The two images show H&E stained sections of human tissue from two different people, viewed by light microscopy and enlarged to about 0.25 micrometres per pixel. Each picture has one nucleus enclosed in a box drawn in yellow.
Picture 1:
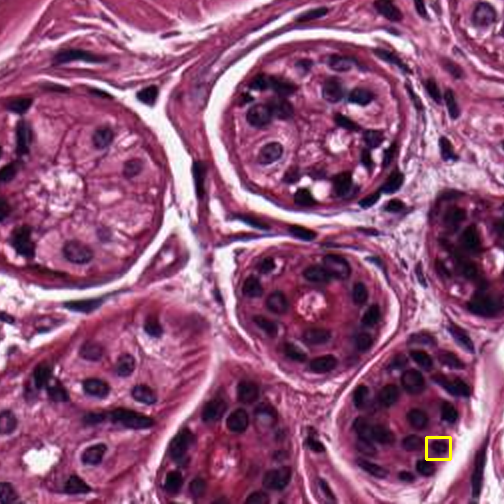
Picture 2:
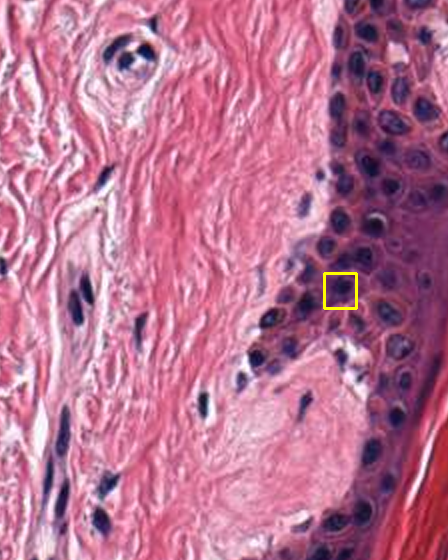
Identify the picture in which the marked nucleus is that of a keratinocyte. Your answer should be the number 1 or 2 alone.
2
